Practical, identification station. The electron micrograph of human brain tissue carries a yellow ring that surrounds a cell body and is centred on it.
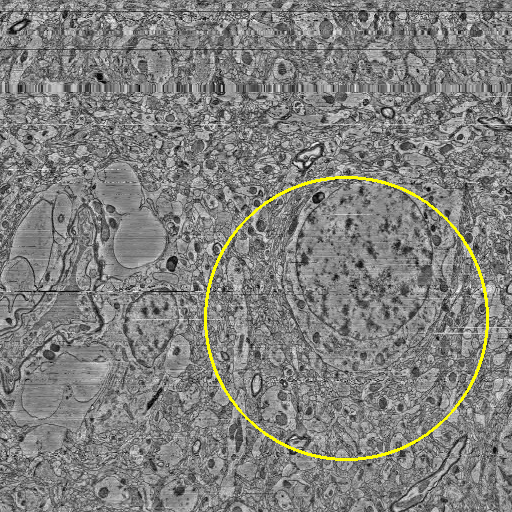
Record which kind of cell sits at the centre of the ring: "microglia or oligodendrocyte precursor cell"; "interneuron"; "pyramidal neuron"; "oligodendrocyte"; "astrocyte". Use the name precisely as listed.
pyramidal neuron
